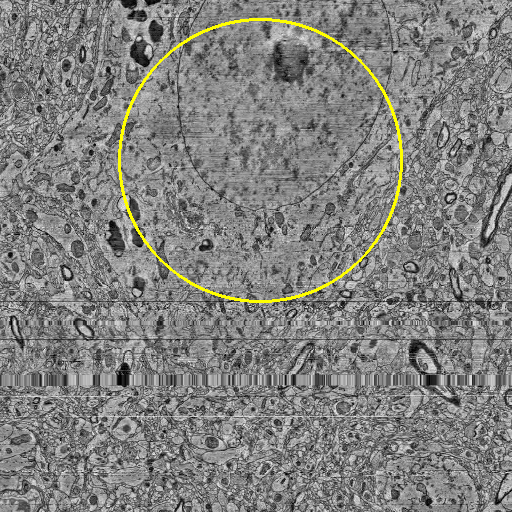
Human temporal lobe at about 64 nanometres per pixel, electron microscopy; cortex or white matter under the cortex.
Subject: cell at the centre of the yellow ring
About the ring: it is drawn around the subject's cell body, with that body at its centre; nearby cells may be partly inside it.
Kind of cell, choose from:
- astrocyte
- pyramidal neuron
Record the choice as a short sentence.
The subject cell is a pyramidal neuron.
